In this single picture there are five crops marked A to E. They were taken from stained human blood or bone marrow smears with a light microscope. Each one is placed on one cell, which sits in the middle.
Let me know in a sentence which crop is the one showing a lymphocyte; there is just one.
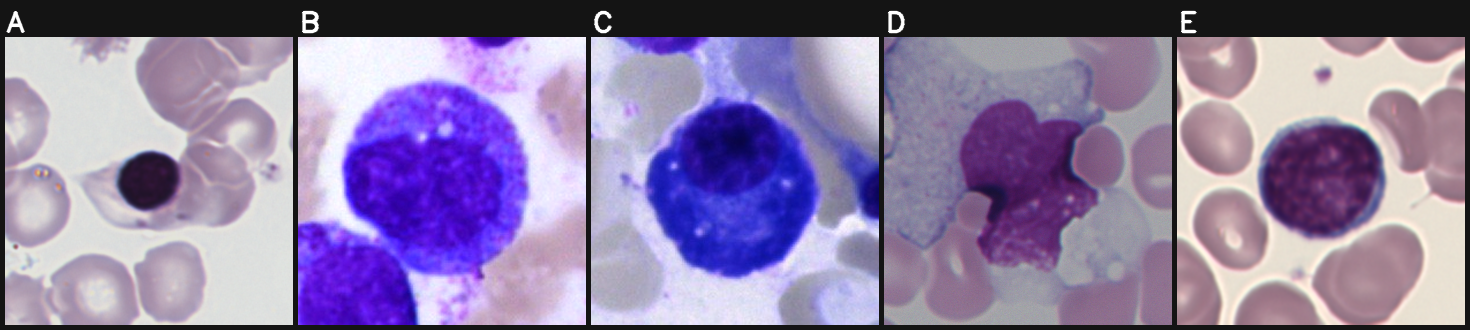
So the crop with a lymphocyte at its center is crop E.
